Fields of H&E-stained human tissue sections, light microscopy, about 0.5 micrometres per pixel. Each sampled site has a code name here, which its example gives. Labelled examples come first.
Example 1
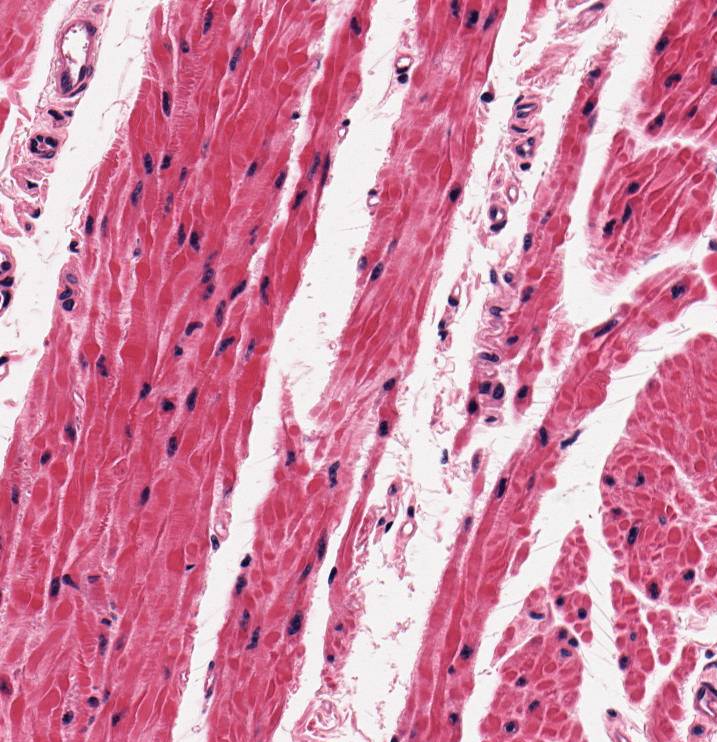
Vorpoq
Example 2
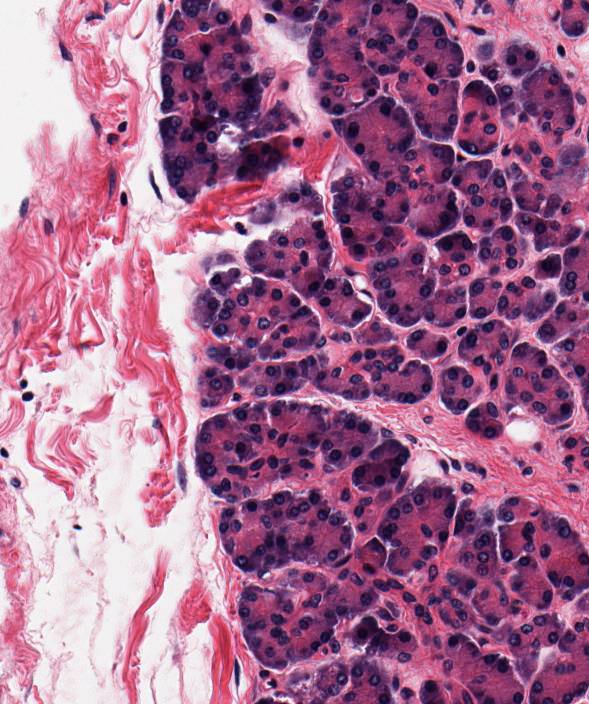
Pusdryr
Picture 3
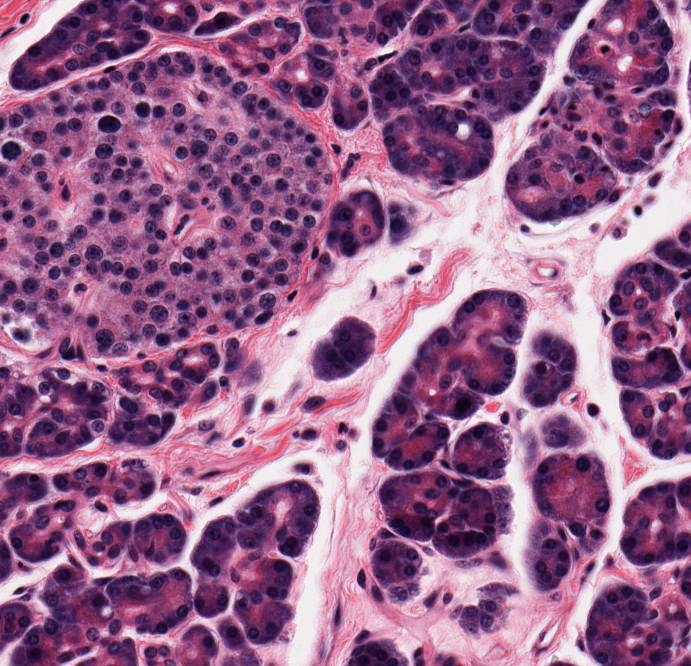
Pusdryr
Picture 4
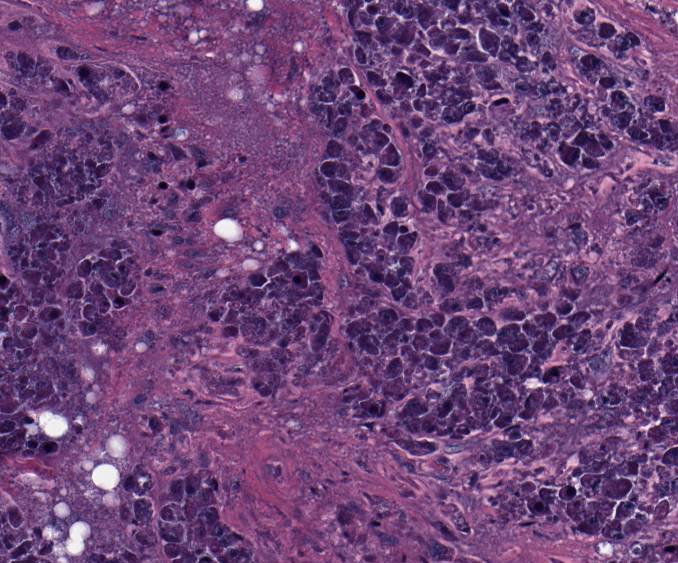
Pusdryr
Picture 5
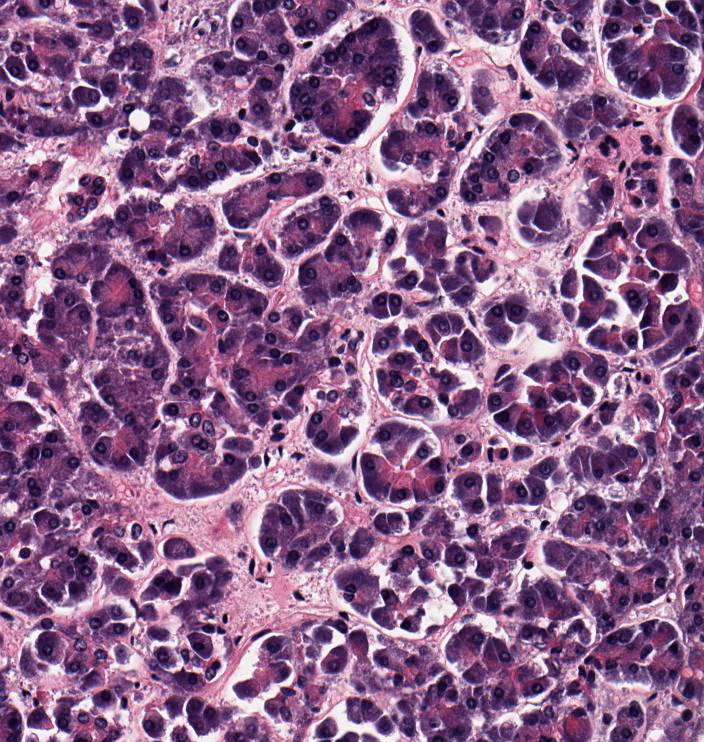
Pusdryr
